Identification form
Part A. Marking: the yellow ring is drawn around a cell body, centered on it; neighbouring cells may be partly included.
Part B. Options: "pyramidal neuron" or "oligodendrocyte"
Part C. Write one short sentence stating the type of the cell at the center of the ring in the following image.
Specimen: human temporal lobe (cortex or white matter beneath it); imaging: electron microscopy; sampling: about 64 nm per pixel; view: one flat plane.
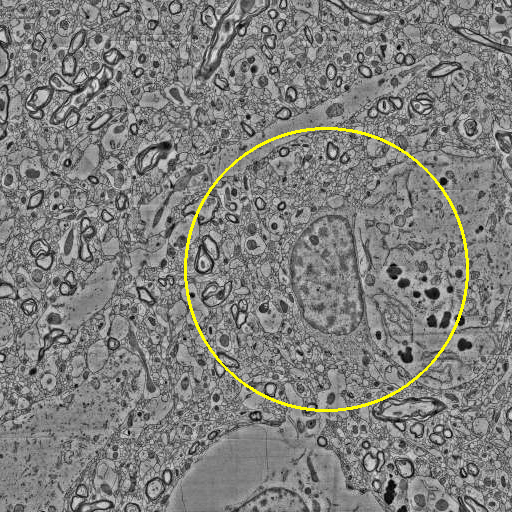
The center of the ring holds an oligodendrocyte.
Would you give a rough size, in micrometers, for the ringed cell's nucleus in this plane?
At approximately 8 by 4 micrometres, the nucleus is clearly longer than it is wide in this plane.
